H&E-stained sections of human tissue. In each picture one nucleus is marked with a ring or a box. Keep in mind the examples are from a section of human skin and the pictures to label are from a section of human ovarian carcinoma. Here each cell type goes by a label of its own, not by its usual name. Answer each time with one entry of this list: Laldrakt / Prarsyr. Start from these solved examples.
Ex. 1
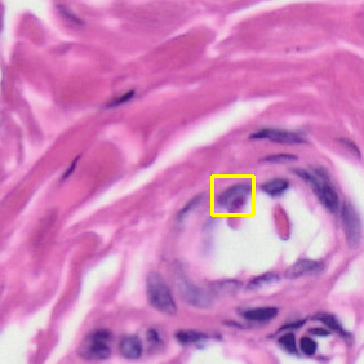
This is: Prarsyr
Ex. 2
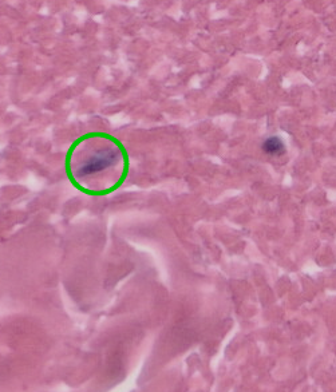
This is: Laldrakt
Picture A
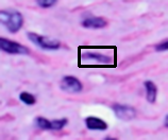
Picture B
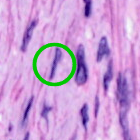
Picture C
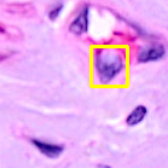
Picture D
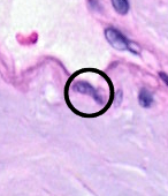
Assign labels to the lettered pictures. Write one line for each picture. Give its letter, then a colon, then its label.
A: Laldrakt
B: Laldrakt
C: Prarsyr
D: Prarsyr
